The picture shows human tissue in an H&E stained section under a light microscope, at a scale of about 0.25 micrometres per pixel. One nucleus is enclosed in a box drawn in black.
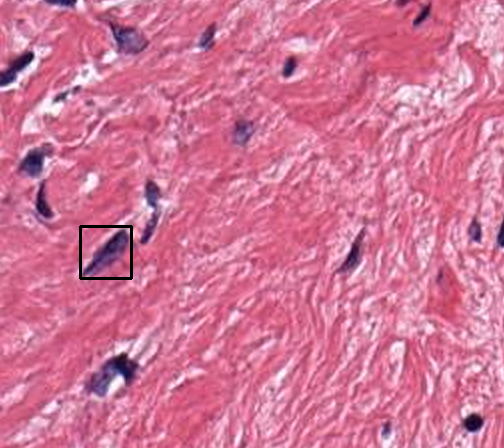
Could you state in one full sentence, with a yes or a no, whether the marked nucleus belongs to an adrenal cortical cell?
No, the marked nucleus is part of a supporting cell and does not belong to an adrenal cortical cell.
